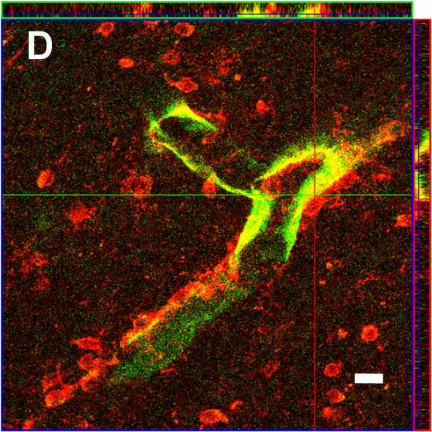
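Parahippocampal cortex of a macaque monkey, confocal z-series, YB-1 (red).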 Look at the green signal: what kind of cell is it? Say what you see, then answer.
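Endothelial cell. The green signal outlines a long branching tubular structure. The green lies in the wall of the tube, not in the scattered round cells around it.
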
